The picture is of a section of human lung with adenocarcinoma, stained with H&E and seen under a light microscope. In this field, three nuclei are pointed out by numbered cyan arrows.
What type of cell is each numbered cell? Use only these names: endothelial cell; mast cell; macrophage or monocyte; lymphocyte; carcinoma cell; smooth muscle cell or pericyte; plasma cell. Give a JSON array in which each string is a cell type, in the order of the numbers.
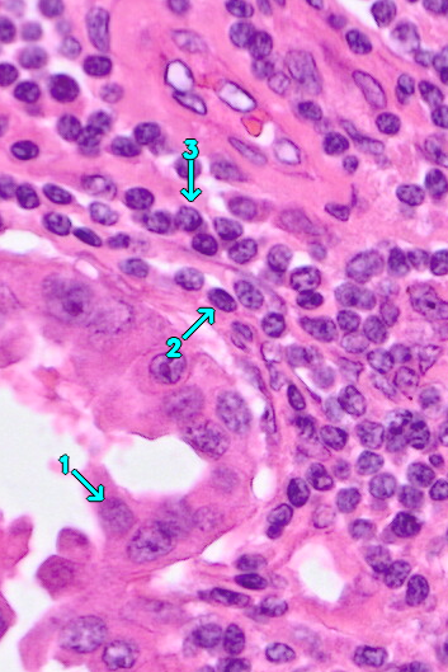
["carcinoma cell", "lymphocyte", "lymphocyte"]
